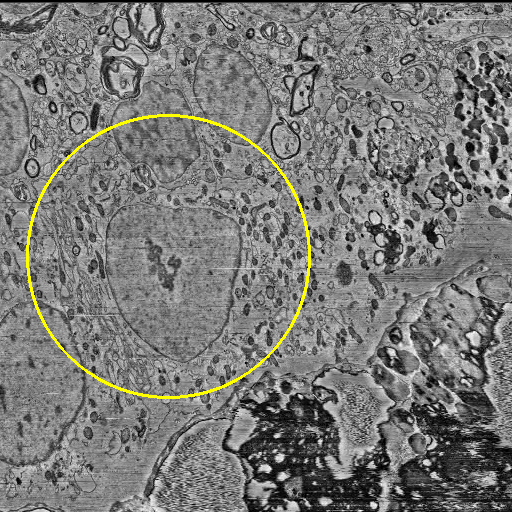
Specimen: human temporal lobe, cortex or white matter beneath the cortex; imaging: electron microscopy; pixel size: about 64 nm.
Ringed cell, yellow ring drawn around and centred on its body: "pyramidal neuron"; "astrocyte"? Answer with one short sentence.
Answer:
This ringed cell is an astrocyte.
